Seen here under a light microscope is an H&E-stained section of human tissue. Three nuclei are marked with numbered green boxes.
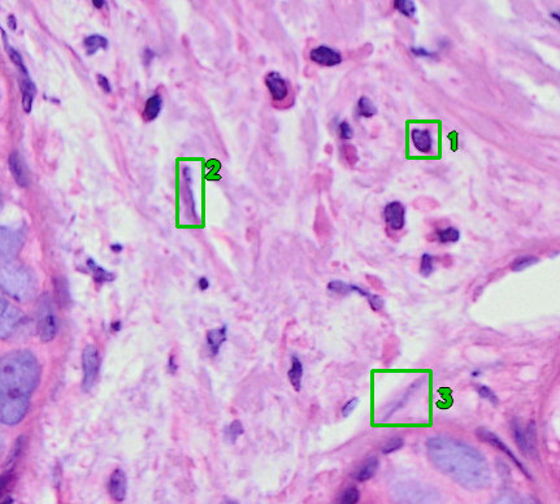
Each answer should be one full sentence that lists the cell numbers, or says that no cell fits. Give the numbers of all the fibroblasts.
As for the cells numbered 2 and 3, they are fibroblasts.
